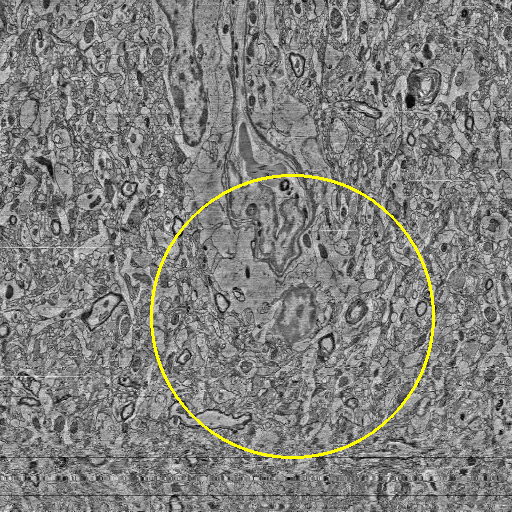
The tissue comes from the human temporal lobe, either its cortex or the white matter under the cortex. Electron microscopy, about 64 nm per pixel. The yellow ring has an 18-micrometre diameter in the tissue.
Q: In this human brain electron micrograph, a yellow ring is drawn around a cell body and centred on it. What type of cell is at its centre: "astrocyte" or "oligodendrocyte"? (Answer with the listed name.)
oligodendrocyte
